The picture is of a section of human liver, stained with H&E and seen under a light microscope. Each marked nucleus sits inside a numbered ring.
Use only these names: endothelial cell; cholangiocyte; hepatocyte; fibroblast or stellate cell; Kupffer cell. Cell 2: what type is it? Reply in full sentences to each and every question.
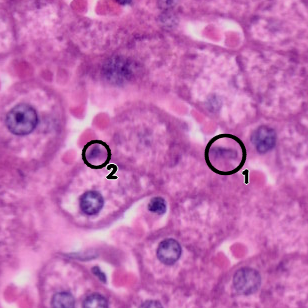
In the marked set, the cell given number 2 is an endothelial cell.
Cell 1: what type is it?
The label 1 in this section denotes a Kupffer cell.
